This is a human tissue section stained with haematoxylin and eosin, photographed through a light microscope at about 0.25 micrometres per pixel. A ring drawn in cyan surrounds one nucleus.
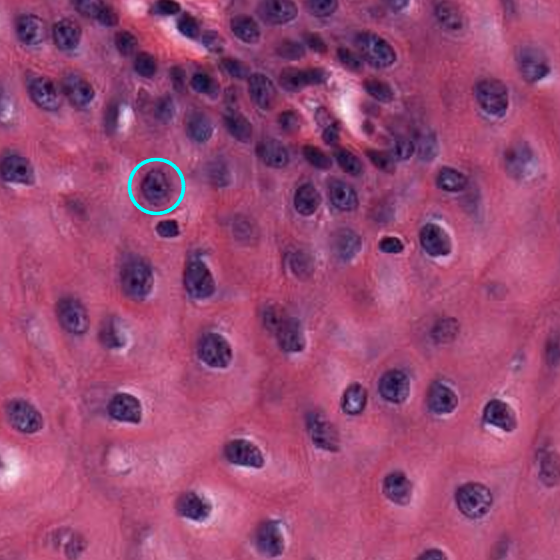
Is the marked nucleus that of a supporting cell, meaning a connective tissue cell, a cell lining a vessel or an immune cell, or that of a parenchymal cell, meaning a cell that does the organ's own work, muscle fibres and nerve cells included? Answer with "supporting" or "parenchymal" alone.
parenchymal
